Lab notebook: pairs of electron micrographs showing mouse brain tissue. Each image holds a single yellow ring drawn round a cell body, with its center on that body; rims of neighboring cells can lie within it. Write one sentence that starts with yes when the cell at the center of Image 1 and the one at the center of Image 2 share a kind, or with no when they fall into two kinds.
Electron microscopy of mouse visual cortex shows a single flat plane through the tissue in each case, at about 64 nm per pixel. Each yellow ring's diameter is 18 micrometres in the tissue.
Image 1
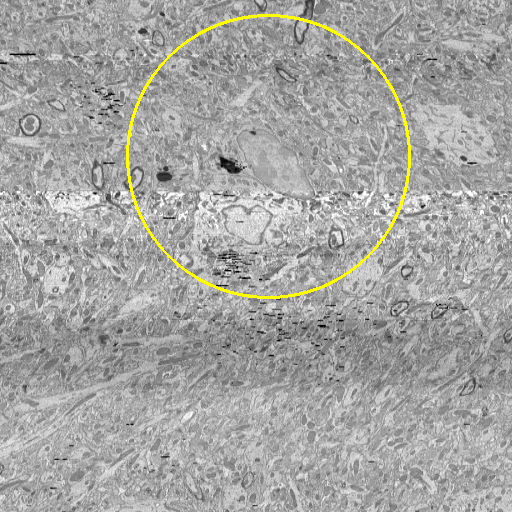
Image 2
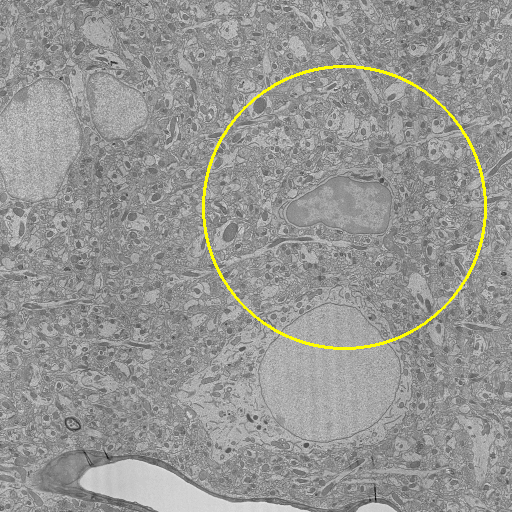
Yes, the centered cell in Image 1 and the centered cell in Image 2 are of one kind.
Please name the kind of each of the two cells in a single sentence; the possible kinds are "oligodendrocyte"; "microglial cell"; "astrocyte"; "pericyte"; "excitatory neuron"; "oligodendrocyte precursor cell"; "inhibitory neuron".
Each of the two rings surrounds a microglial cell.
